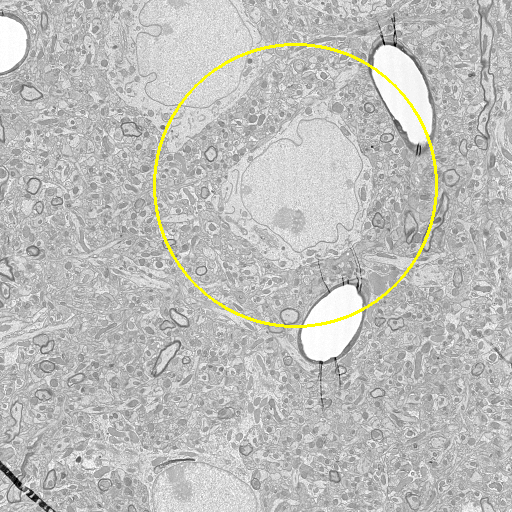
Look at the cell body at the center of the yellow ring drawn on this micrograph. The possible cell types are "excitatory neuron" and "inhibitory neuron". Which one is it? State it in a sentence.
The cell in the middle of the ring is an excitatory neuron.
